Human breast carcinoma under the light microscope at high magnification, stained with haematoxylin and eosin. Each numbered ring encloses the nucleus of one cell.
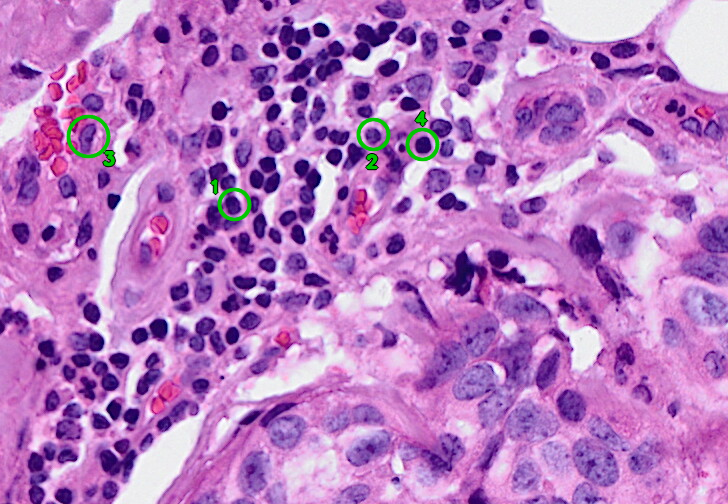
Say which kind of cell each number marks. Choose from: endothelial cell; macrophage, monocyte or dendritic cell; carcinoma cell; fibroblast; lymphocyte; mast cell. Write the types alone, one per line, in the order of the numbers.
lymphocyte
lymphocyte
endothelial cell
lymphocyte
